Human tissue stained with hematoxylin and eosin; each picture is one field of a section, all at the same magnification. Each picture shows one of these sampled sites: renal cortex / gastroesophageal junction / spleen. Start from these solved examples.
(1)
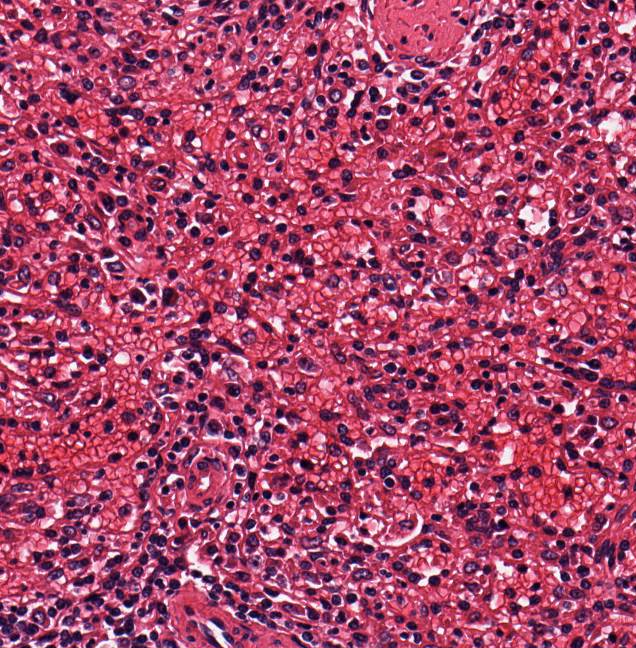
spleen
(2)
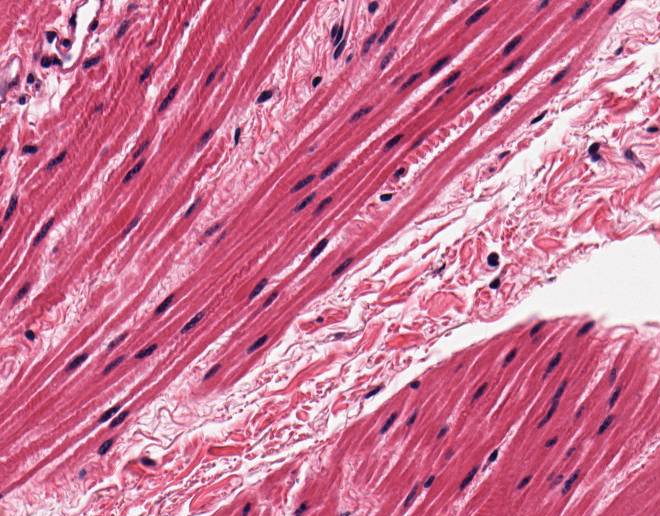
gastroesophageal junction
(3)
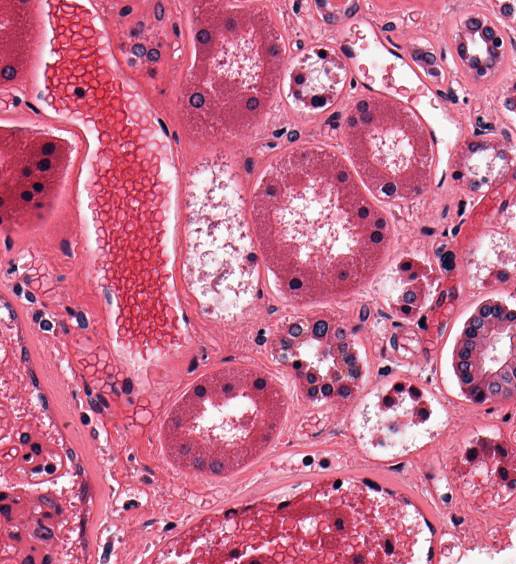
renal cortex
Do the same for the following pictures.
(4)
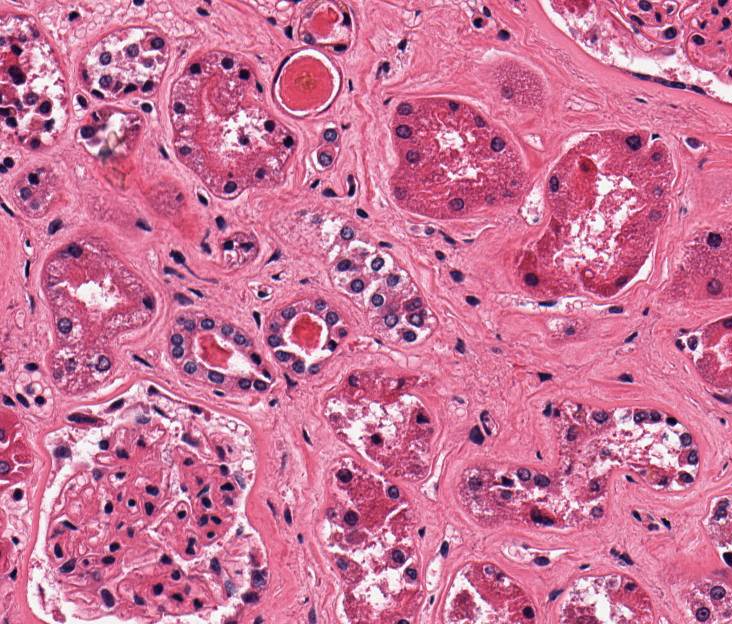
renal cortex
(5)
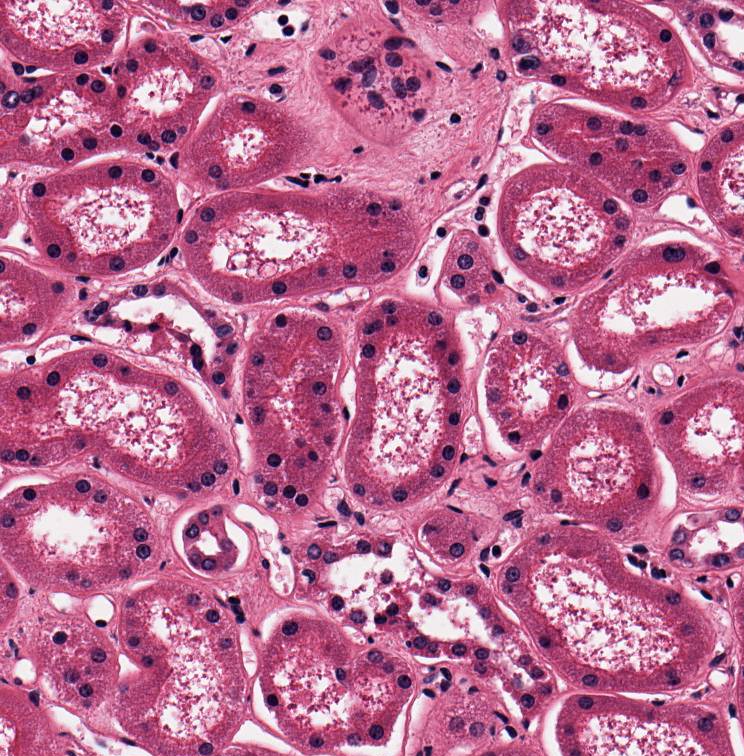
renal cortex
